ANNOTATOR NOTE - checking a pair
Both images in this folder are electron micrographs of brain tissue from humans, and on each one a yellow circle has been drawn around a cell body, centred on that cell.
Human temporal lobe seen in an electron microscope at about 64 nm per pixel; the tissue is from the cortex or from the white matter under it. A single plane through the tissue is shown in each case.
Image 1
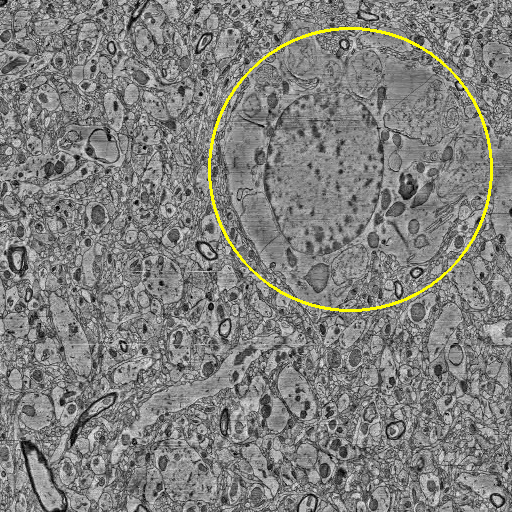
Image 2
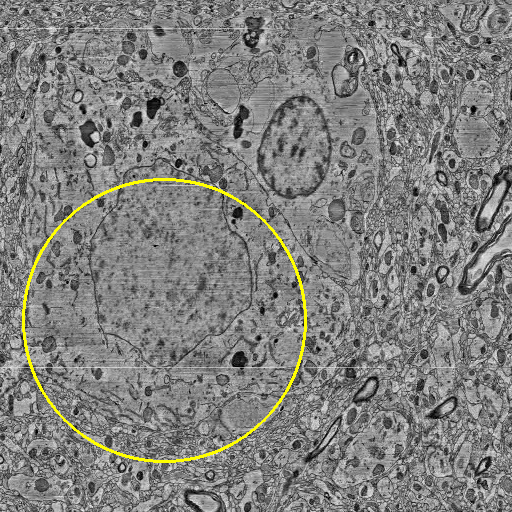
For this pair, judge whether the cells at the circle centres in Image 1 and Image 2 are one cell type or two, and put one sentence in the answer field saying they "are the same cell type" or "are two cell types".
For this pair, the cells at the circle centres in Images 1 and 2 are two cell types.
